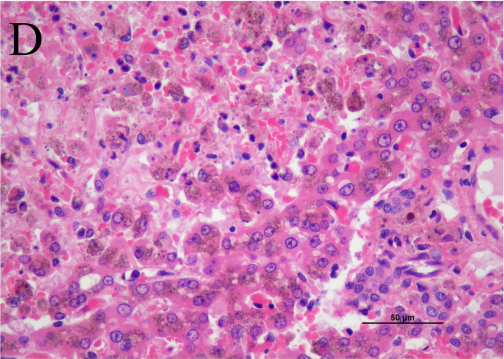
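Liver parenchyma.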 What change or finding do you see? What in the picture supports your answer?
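Many large polygonal cells with round central nuclei contain brown granular material in their cytoplasm. The brown granules are widespread across the field.
Answer: pigment deposition in the cytoplasm of hepatocytes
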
